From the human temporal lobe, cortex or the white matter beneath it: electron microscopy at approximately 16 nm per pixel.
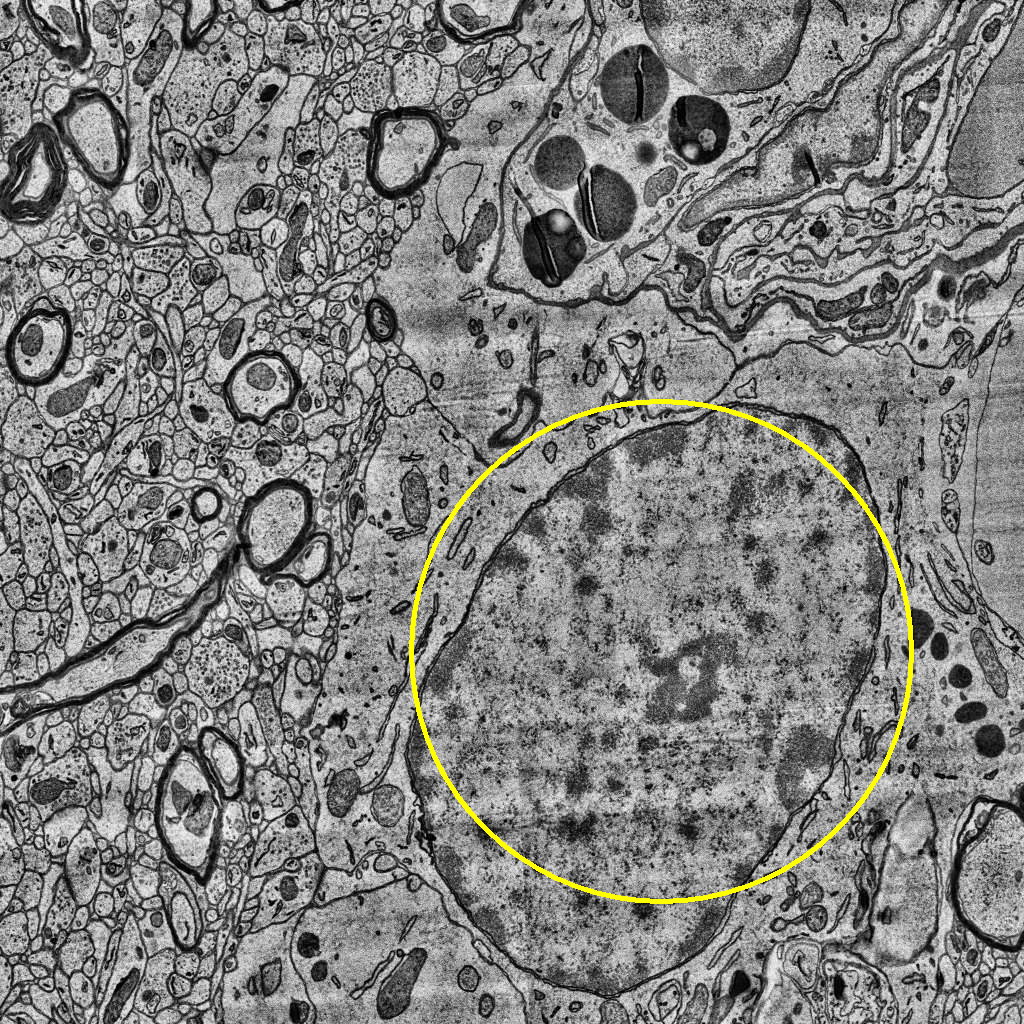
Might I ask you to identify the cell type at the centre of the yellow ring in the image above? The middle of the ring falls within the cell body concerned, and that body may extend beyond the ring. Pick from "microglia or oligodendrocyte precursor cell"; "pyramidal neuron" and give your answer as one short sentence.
The centre of the ring falls on a microglial cell or oligodendrocyte precursor cell.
